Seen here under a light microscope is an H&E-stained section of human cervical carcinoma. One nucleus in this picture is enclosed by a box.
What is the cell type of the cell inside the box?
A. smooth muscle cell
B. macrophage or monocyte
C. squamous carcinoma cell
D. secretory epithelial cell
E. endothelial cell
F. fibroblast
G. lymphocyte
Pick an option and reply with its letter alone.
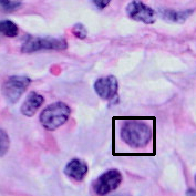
B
